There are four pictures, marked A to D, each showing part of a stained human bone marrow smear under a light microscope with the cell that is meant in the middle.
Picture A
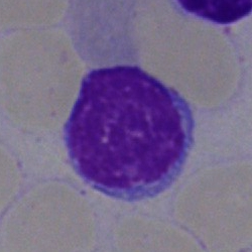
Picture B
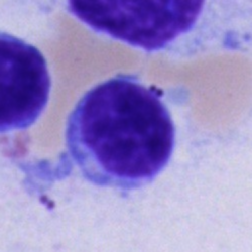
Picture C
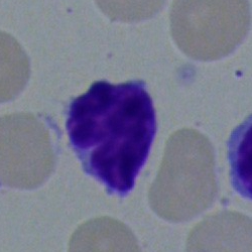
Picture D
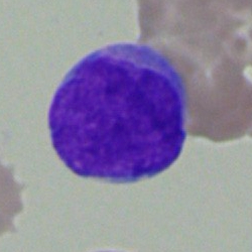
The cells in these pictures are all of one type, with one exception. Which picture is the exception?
D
